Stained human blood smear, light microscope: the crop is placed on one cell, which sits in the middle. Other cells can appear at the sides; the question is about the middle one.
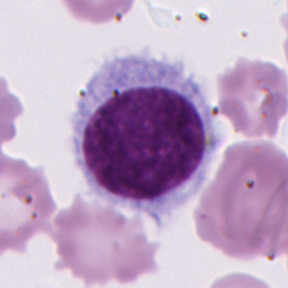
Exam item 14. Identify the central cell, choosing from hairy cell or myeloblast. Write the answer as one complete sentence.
The cell centered in this field of view is a hairy cell.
